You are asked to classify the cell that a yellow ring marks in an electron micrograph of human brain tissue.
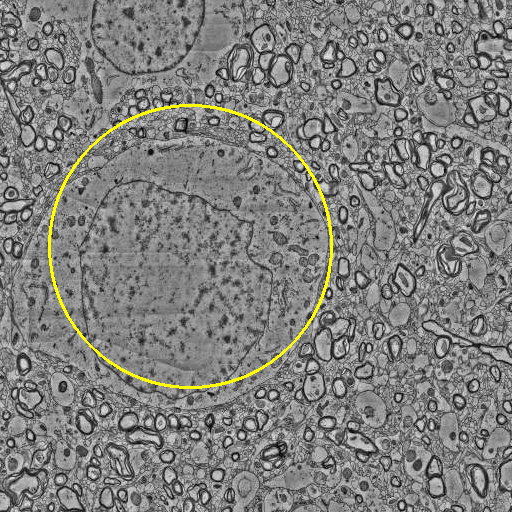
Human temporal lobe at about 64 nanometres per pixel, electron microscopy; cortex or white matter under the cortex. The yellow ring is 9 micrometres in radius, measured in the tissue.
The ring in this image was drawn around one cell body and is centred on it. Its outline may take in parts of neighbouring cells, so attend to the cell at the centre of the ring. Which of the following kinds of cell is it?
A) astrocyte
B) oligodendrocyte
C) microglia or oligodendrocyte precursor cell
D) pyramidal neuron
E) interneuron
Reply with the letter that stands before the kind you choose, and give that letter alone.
D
